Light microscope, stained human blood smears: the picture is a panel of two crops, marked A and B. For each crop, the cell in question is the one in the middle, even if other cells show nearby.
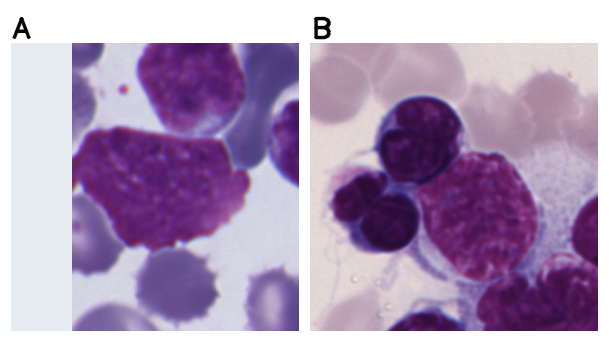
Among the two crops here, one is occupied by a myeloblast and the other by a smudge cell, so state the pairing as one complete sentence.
It is a smudge cell that crop A shows, and a myeloblast that crop B shows.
